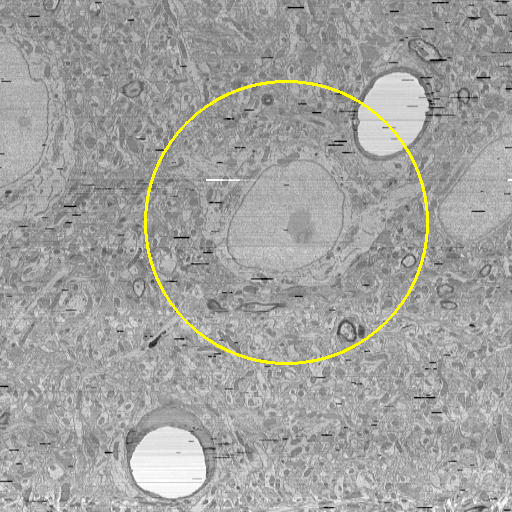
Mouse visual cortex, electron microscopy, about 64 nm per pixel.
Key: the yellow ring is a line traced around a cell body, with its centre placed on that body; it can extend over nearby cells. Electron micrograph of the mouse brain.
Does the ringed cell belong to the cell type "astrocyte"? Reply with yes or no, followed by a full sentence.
No, the cell at the centre of the yellow ring in the picture is of another type.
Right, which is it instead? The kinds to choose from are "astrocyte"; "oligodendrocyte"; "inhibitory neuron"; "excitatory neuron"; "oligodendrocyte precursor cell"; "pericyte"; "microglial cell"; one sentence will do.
What the ring encloses here is an excitatory neuron.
